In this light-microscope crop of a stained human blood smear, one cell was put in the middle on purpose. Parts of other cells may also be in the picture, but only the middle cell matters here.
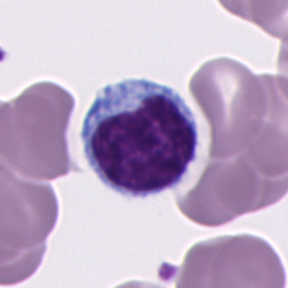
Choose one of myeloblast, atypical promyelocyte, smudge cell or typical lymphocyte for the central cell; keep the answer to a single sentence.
The central cell shown in this smear crop is a typical lymphocyte.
